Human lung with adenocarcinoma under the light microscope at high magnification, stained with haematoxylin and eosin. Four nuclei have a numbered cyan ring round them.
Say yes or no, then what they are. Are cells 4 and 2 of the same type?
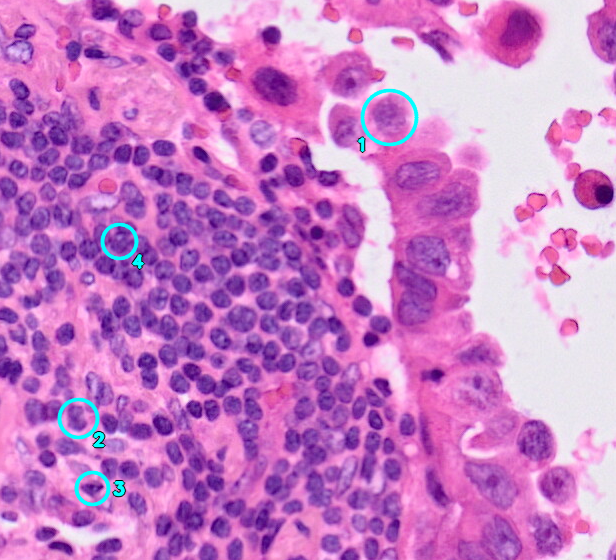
Yes, the pair of cells 4 and 2 are both lymphocytes.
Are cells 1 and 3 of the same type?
No, cell 1 is classed as a carcinoma cell and cell 3 as a lymphocyte.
